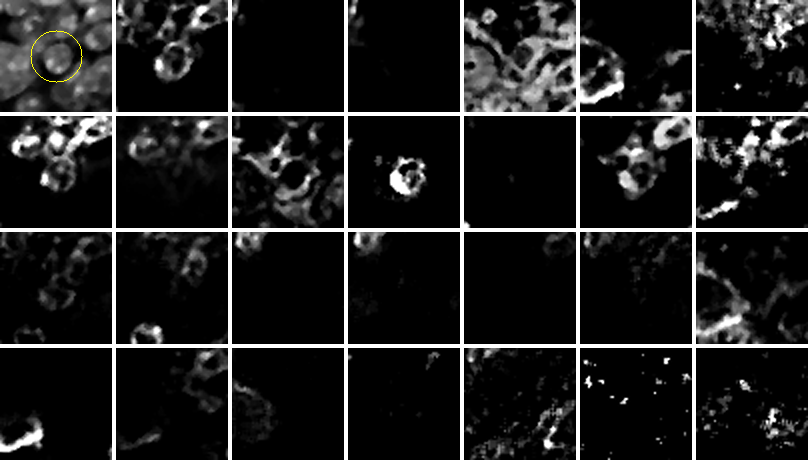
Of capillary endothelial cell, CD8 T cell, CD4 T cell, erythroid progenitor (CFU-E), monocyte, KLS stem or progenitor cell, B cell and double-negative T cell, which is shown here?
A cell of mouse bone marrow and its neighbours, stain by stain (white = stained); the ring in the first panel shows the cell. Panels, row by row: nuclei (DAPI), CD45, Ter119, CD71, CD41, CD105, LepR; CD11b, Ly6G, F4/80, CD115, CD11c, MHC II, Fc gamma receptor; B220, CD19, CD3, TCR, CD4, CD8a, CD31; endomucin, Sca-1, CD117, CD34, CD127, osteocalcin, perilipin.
monocyte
